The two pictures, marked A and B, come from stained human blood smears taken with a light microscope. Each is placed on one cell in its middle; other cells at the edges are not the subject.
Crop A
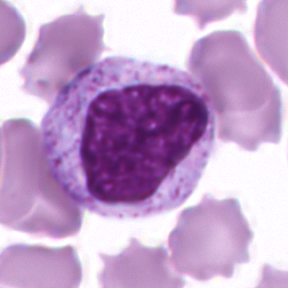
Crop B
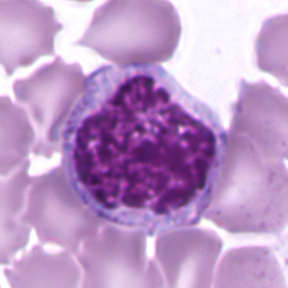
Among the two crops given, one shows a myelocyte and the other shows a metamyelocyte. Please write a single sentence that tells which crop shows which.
In crop A the cell is a metamyelocyte, while in crop B it is a myelocyte.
